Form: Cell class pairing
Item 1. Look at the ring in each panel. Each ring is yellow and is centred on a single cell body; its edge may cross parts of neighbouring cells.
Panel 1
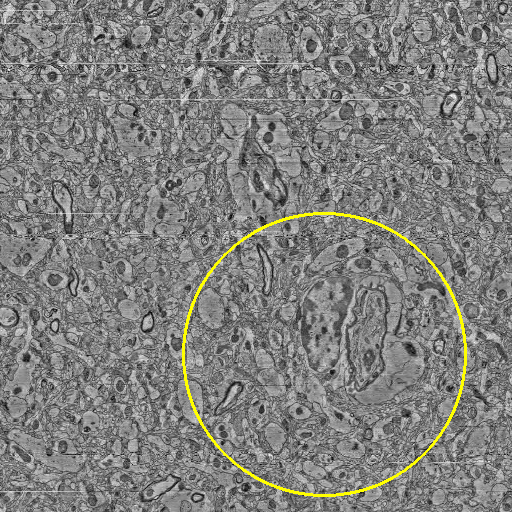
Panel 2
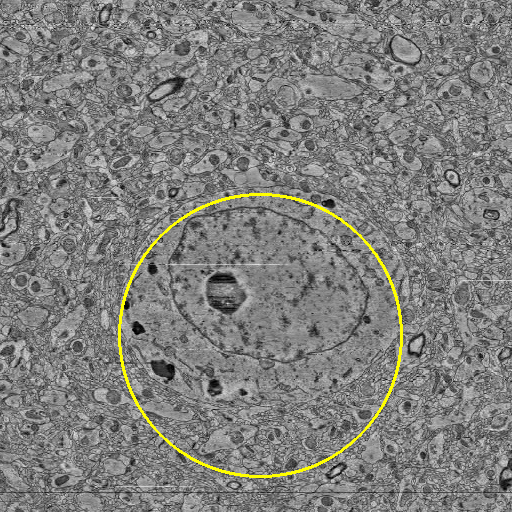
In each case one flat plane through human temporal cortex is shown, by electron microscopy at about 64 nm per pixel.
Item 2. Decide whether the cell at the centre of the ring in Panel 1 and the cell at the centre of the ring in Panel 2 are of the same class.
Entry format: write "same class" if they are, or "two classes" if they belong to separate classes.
two classes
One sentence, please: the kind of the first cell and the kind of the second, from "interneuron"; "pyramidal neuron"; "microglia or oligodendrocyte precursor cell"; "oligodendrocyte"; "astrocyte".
The ring in the first picture surrounds a microglial cell or oligodendrocyte precursor cell, and the ring in the second surrounds a pyramidal neuron.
